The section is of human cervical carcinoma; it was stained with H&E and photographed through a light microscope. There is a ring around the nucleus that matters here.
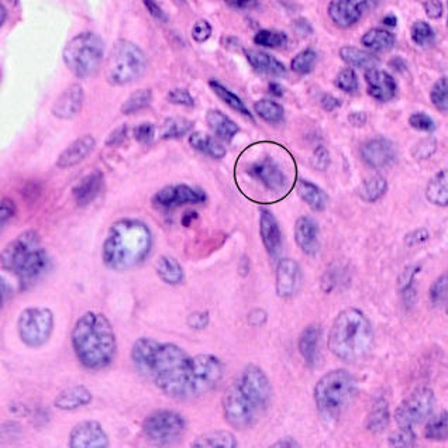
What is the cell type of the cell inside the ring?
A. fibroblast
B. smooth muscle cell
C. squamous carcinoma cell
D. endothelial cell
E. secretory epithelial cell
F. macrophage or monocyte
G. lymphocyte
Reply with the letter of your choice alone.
C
